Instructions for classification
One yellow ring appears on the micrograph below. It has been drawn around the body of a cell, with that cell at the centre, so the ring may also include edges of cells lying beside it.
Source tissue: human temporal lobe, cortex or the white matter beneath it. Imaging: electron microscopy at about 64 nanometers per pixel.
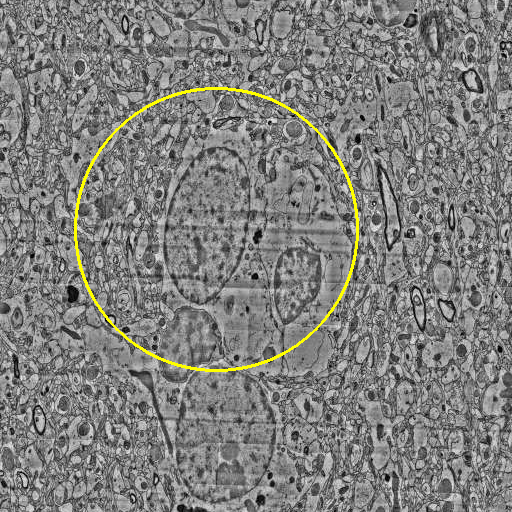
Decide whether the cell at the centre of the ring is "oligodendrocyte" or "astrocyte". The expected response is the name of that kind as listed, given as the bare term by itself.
astrocyte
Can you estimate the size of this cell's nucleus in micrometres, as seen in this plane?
About 10 by 5 micrometres in this plane; clearly longer than it is wide.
